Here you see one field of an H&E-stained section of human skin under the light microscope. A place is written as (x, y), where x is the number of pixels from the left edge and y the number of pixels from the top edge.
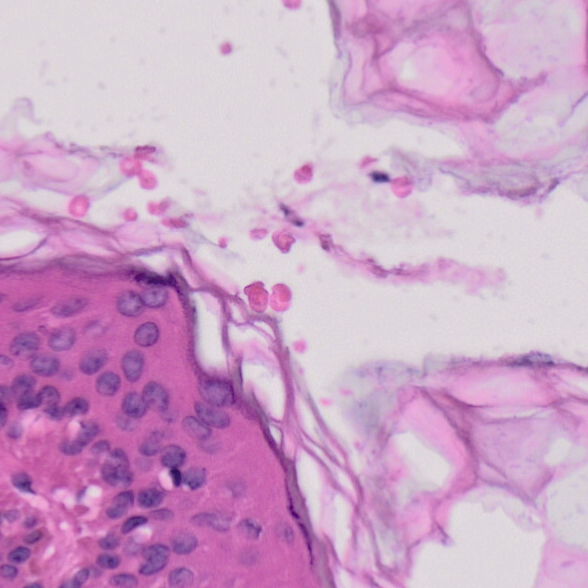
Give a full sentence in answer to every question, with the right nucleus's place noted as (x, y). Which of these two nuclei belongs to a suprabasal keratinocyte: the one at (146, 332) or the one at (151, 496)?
Of the two nuclei present, the one at (146, 332) is within a suprabasal keratinocyte.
